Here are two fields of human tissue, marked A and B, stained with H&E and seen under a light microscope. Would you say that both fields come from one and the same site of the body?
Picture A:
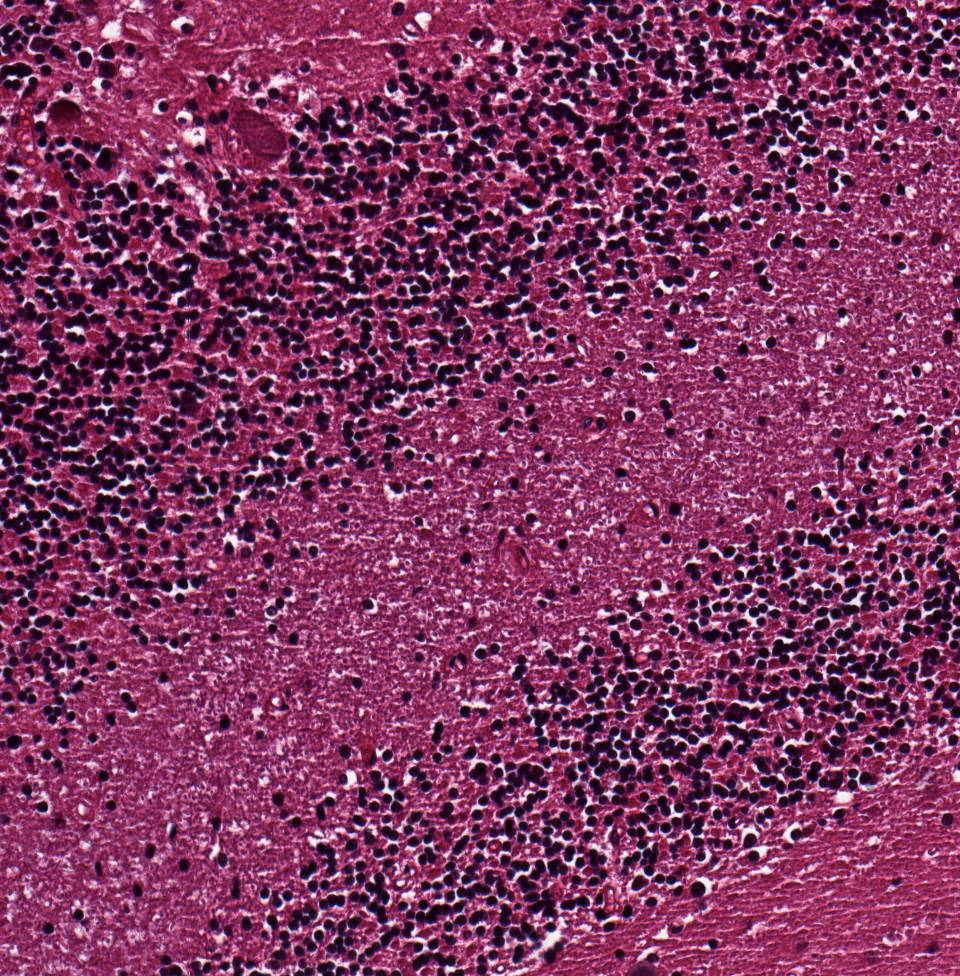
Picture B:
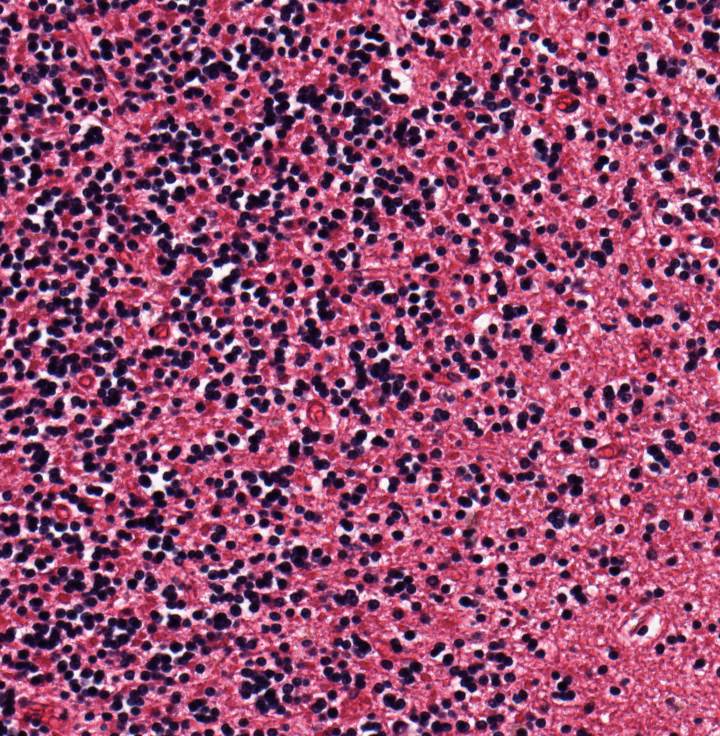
yes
